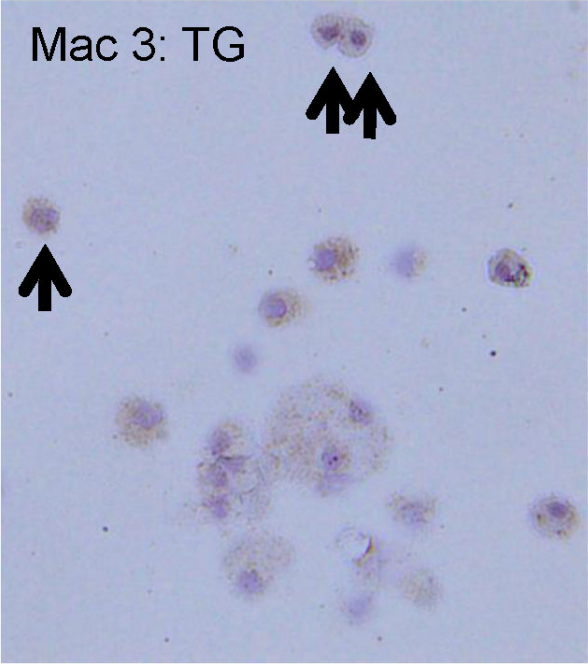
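Most are small and round with one purple nucleus and a narrow rim of cytoplasm carrying faint, fine brown granules. Compared with typical macrophages the brown staining is weaker and more speckled. A few cells at the top and left, marked by arrows, sit apart as small round cells, two of them side by side. In the centre several cells overlap in a loose clump with pale granular material around them. A few cells show only pale purple nuclei with little brown.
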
